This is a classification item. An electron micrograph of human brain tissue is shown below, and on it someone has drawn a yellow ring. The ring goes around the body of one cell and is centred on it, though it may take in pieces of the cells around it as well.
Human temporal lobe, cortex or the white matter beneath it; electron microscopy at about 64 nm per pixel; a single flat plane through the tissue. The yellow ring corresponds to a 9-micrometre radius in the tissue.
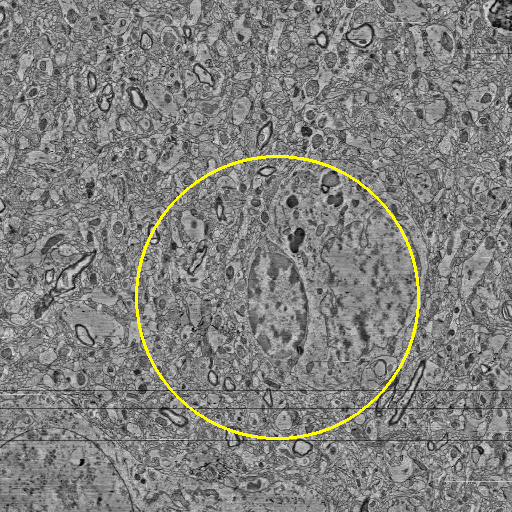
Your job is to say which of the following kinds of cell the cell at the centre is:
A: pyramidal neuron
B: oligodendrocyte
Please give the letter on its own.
B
